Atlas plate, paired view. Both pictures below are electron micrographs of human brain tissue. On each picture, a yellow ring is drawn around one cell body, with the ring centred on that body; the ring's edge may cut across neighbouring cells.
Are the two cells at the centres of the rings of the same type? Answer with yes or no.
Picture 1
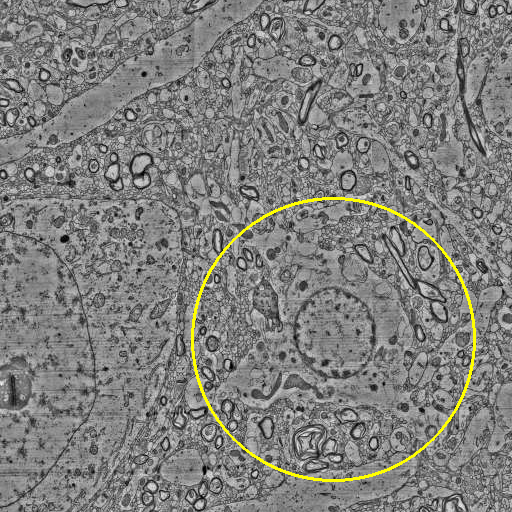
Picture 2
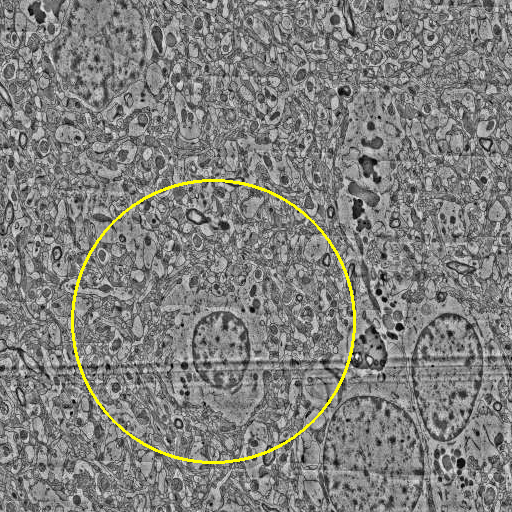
yes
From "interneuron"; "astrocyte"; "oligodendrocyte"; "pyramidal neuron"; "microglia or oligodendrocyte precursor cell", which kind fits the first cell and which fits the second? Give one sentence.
Each of the ringed cells, first and second, is an astrocyte.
